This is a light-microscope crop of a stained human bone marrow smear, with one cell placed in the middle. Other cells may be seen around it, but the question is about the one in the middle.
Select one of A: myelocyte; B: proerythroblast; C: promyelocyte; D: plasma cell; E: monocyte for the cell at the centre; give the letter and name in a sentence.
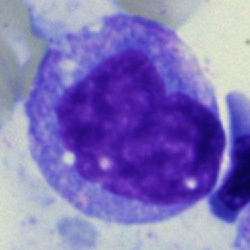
The centrally located cell is a monocyte, making option E the correct choice.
